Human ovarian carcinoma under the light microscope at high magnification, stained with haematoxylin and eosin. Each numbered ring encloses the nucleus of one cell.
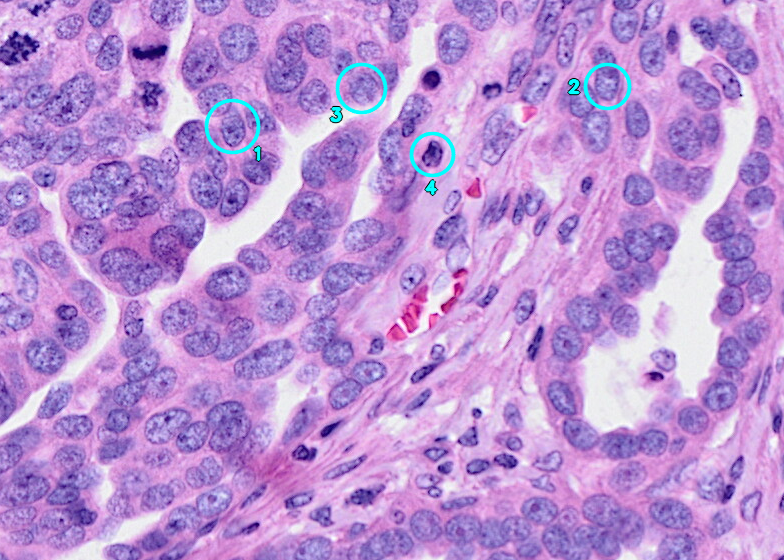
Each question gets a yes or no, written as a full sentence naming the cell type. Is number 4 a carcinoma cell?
No, the cell labelled number 4 is not a carcinoma cell; it is a lymphocyte.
